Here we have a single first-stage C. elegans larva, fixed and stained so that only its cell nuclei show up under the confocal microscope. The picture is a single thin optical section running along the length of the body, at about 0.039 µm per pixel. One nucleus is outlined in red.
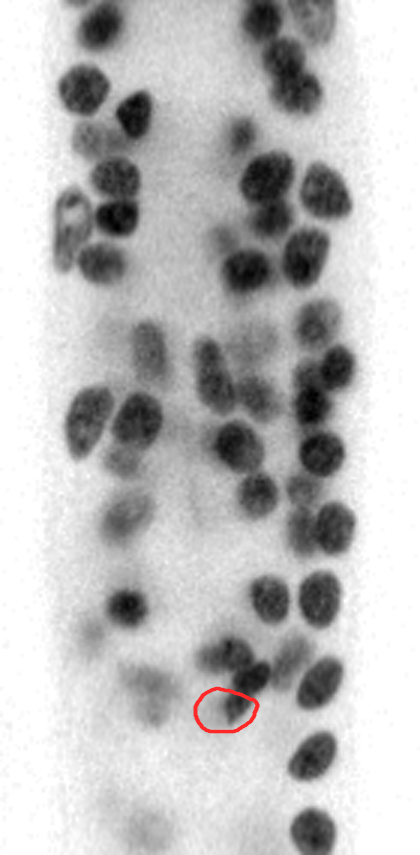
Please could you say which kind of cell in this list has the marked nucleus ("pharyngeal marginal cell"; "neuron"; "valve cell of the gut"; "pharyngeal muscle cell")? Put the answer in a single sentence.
The marked cell is a valve cell of the gut.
